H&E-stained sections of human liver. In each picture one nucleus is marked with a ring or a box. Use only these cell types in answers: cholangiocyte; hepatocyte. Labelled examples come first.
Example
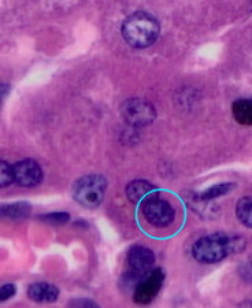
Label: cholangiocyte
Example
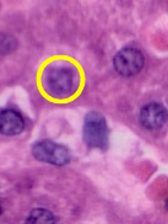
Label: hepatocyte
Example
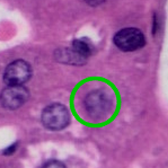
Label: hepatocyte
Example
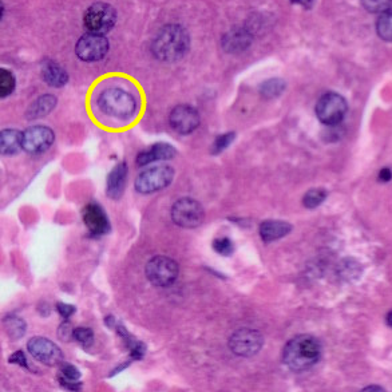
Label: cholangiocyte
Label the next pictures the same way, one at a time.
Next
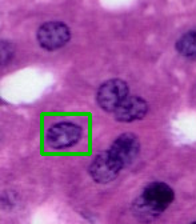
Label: hepatocyte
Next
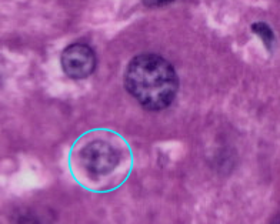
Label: hepatocyte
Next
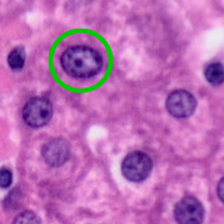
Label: hepatocyte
